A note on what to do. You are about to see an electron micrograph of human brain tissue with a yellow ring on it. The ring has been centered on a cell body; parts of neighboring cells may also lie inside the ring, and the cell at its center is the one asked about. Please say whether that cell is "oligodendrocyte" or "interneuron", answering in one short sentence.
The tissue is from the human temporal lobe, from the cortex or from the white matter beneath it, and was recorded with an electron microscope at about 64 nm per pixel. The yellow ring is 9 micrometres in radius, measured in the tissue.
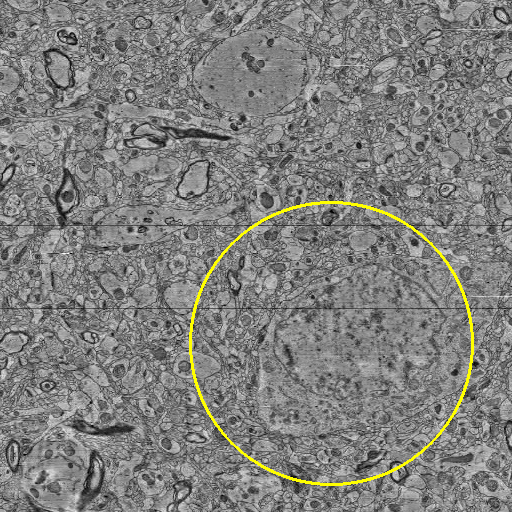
The yellow ring sits on an interneuron.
